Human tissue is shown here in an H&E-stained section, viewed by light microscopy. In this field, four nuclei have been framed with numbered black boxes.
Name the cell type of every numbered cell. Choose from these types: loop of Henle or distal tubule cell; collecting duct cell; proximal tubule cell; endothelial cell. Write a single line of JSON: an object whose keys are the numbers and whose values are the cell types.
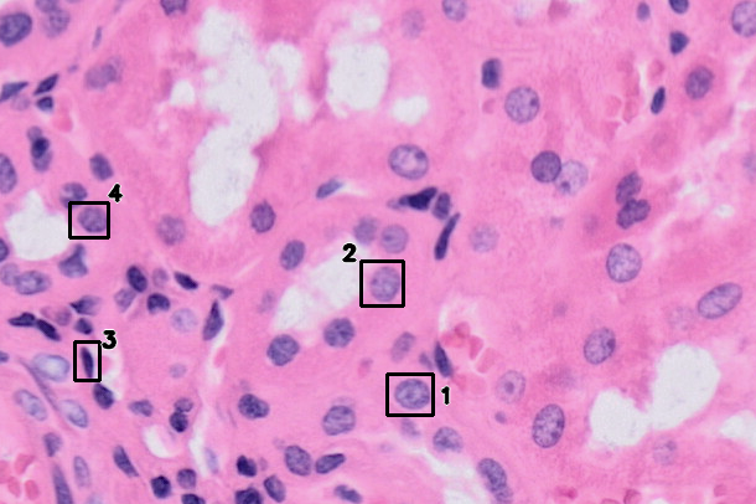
{"1": "collecting duct cell", "2": "loop of Henle or distal tubule cell", "3": "endothelial cell", "4": "collecting duct cell"}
